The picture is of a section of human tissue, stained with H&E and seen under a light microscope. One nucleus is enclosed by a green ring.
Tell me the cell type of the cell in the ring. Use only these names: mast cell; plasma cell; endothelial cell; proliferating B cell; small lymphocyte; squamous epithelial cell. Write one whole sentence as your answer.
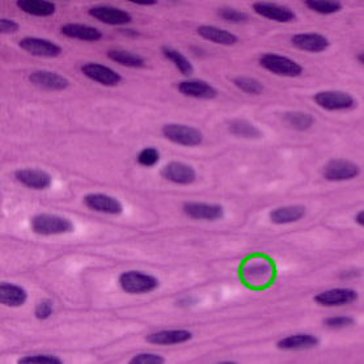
The cell in the ring is a squamous epithelial cell.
